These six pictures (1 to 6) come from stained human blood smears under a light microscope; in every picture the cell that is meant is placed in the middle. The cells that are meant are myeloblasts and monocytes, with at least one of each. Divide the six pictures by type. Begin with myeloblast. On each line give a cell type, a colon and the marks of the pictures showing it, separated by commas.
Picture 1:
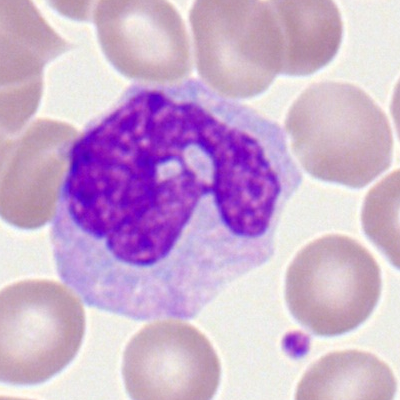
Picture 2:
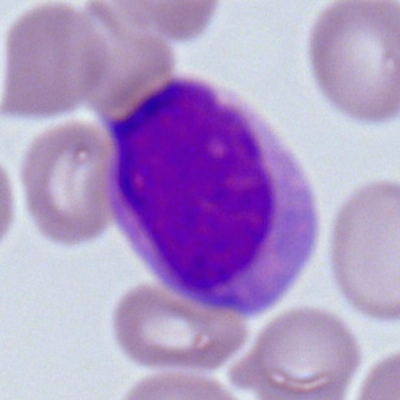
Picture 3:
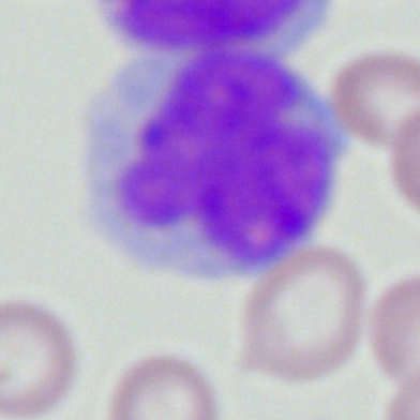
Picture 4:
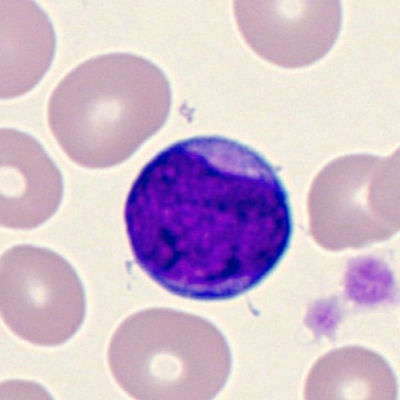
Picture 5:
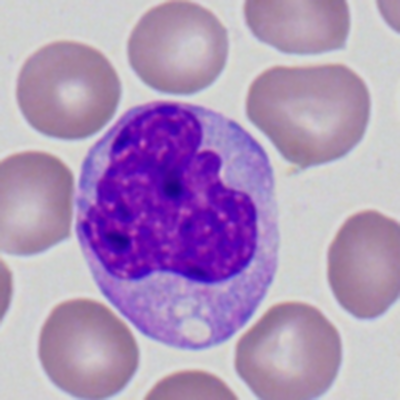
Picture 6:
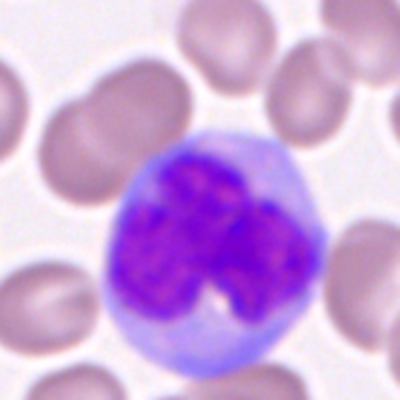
myeloblast: 2, 4
monocyte: 1, 3, 5, 6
